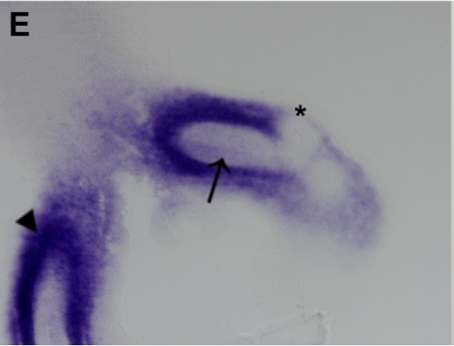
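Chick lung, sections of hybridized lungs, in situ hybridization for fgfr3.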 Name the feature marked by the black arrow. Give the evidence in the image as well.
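The arrow points into a pale region enclosed by a dark purple ring. The pale inner tissue is unstained while the surrounding band is purple. That points to this answer: main bronchus.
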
